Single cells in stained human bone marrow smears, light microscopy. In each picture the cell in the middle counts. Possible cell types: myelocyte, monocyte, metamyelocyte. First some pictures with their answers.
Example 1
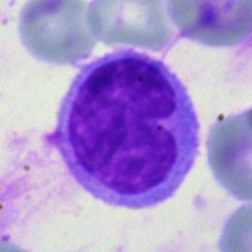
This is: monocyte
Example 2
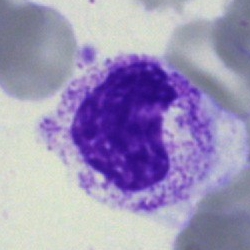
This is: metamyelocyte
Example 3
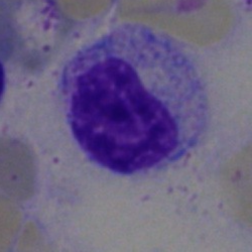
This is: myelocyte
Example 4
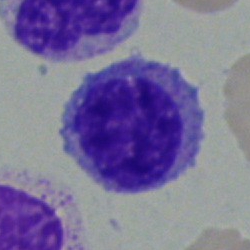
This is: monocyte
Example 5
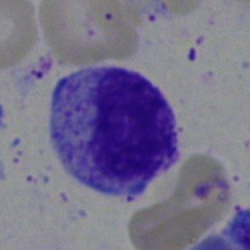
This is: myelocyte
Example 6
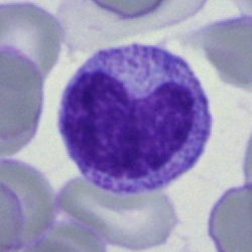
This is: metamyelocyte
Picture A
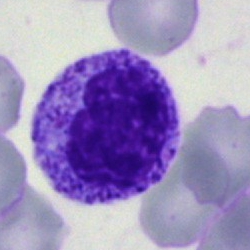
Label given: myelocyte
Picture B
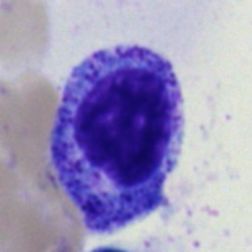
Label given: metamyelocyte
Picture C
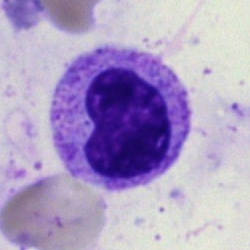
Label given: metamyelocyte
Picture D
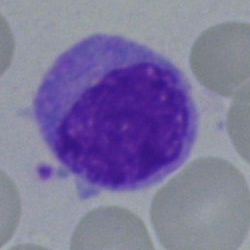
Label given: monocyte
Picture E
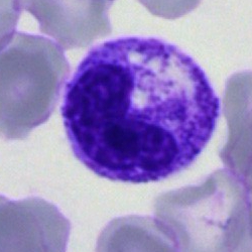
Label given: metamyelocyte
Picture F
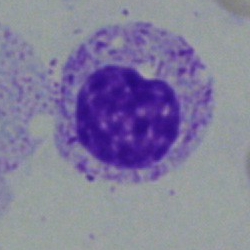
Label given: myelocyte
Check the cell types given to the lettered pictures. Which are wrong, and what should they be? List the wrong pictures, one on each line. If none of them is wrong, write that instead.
B should be myelocyte, not metamyelocyte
